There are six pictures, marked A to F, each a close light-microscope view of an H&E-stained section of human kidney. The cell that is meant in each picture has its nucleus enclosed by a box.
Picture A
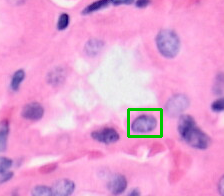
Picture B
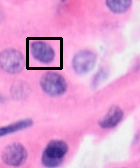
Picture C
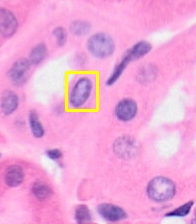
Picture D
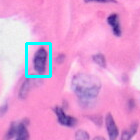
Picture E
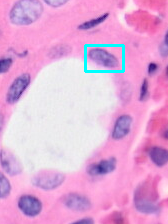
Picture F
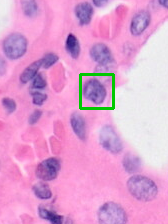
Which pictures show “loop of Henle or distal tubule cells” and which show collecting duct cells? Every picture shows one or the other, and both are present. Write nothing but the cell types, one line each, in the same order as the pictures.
loop of Henle or distal tubule cell
loop of Henle or distal tubule cell
collecting duct cell
collecting duct cell
loop of Henle or distal tubule cell
collecting duct cell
